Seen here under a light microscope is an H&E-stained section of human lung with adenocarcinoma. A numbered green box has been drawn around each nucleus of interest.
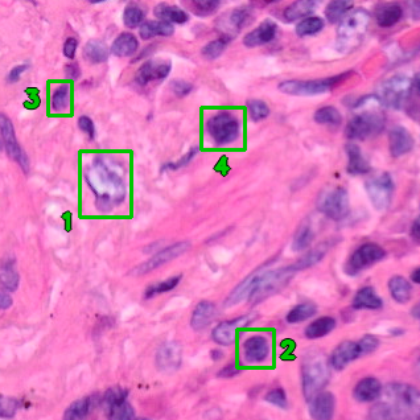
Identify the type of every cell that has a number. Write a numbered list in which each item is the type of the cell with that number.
1. fibroblast
2. lymphocyte
3. mast cell
4. plasma cell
